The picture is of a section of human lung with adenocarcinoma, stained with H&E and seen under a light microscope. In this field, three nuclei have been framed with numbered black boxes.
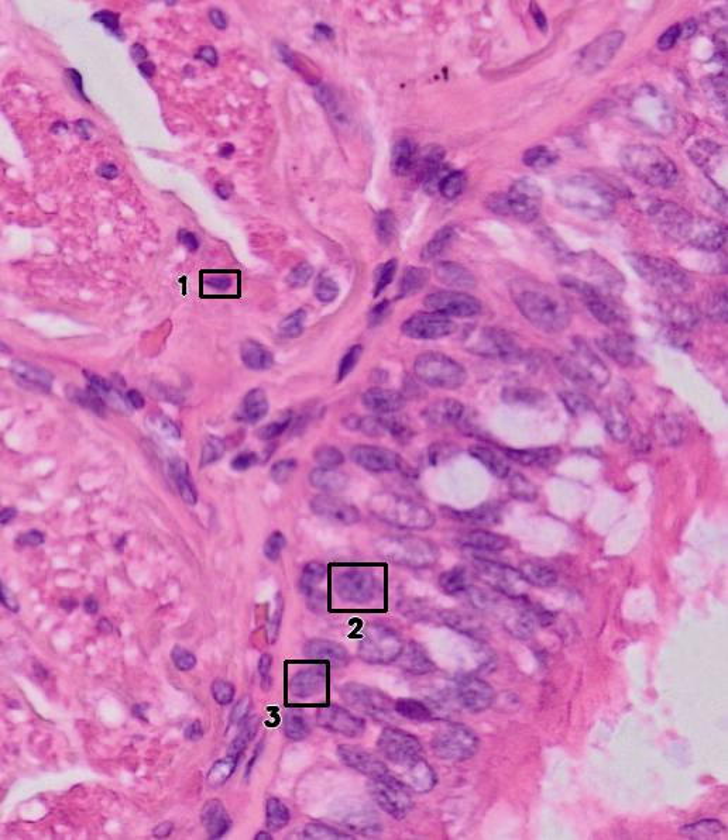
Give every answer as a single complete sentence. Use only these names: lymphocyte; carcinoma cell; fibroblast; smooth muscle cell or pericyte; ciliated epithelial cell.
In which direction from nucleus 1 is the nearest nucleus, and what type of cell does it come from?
It is a smooth muscle cell or pericyte, whose nucleus lies above and to the left of nucleus 1.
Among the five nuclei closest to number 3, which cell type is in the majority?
Around number 3, most of the five nearest nuclei are those of ciliated epithelial cells.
